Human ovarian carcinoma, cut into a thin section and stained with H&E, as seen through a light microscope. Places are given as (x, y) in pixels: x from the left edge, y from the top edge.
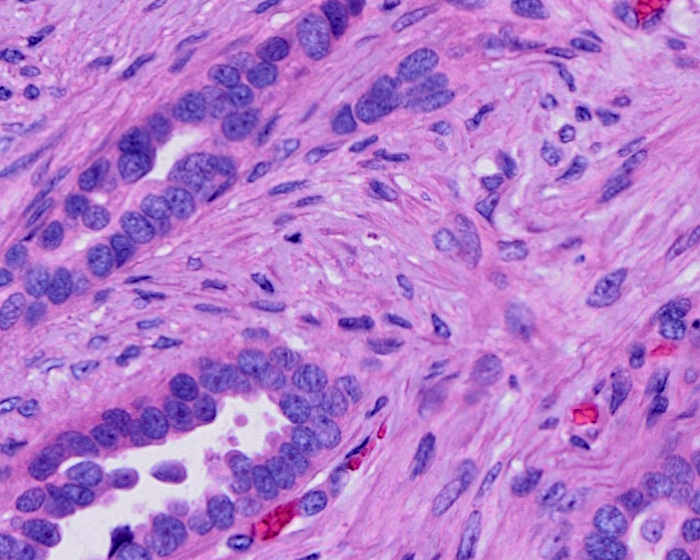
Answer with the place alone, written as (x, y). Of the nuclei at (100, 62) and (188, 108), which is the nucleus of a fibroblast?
(100, 62)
